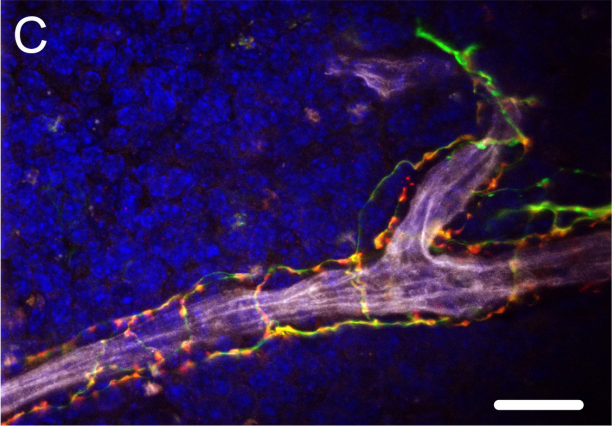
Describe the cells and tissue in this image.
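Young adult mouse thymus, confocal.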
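This shows a branching blood vessel running diagonally through densely packed tissue of small, closely set blue nuclei. Thin beaded nerve fibers, green with red and yellow varicosities, run along the vessel wall and wrap around it, with a few fibers leaving the vessel toward the surrounding tissue.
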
